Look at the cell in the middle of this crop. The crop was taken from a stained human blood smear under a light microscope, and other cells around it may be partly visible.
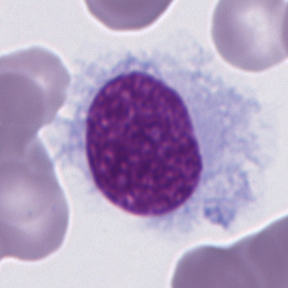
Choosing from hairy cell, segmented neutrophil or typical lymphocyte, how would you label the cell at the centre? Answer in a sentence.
Classified as a hairy cell is the cell in the middle of this crop.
